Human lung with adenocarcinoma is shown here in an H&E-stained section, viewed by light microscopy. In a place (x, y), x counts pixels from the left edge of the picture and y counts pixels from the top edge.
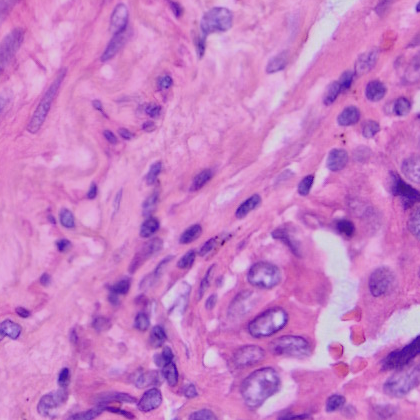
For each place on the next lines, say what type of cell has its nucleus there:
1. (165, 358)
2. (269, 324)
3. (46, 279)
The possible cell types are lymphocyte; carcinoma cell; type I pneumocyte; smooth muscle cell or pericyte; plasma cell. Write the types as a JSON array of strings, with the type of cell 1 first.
["lymphocyte", "carcinoma cell", "smooth muscle cell or pericyte"]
